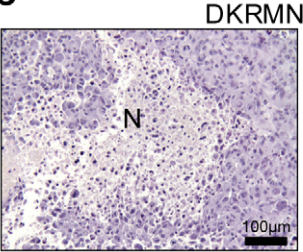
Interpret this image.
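This is tumor tissue with a central region of necrosis surrounded by crowded tumor cells. In the necrotic area the tissue is pale and loosely textured. Scattered nuclear debris and ghost-like cell outlines lie there in place of intact cells. Around it, the viable tumor cells have purple nuclei of varying size and shape. The border between the pale necrotic zone and the denser cellular tissue is irregular.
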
